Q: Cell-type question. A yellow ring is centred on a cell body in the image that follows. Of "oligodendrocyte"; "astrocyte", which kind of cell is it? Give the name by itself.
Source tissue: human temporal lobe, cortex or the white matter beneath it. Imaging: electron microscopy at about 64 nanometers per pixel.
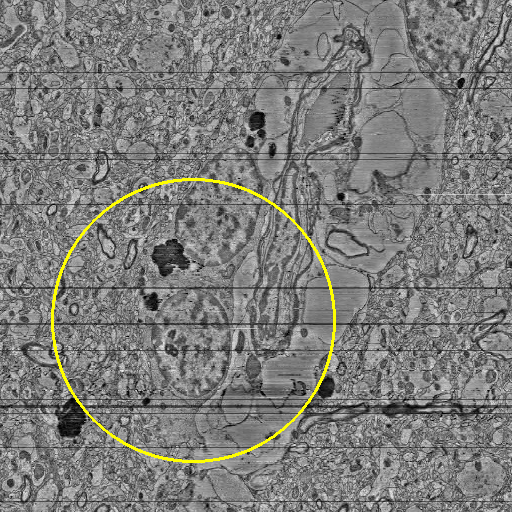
oligodendrocyte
